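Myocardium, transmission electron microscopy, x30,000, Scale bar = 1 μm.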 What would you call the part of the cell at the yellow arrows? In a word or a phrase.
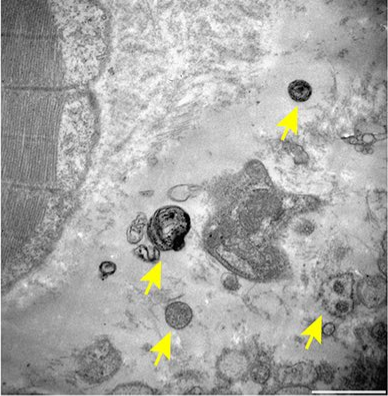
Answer: Autophagic vacuoles.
